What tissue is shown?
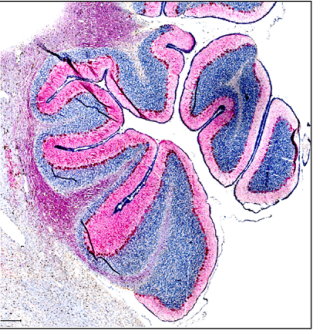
Cerebellum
